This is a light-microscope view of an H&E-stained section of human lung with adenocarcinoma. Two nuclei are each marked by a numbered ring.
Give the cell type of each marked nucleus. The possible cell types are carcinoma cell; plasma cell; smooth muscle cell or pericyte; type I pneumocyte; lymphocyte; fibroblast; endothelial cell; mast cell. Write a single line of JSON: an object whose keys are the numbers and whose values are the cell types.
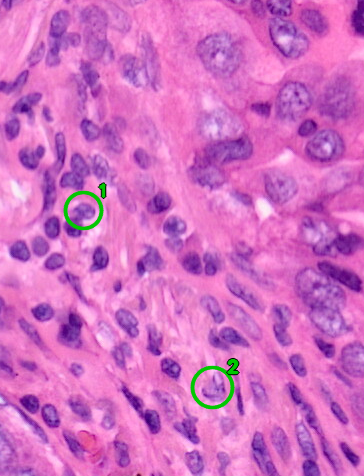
{"1": "lymphocyte", "2": "fibroblast"}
